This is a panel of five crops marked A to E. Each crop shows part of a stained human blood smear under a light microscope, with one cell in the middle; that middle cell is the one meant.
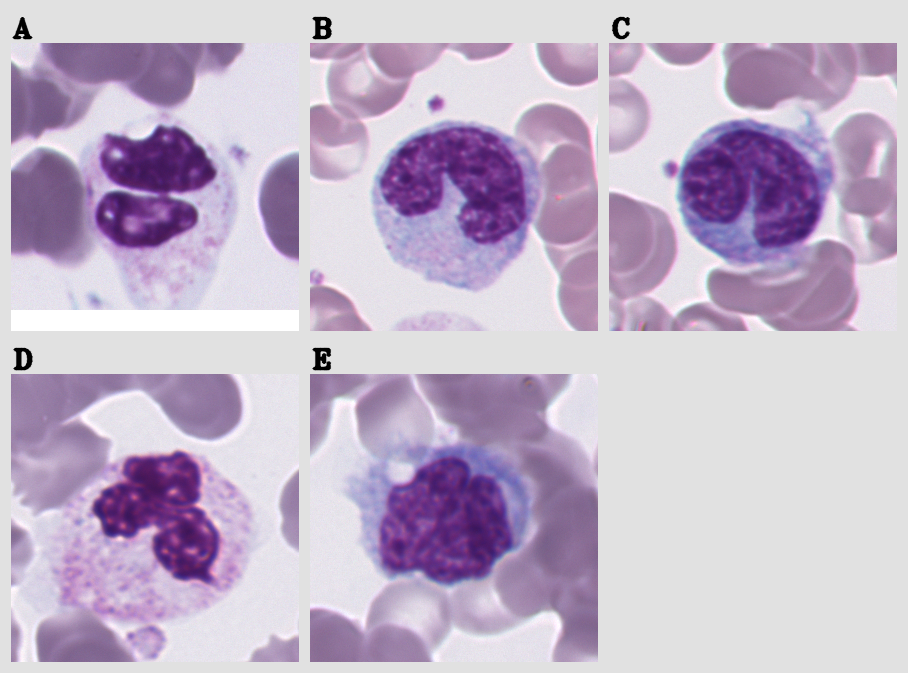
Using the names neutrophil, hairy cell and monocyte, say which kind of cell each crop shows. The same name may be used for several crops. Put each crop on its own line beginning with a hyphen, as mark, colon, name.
- A: neutrophil
- B: monocyte
- C: monocyte
- D: neutrophil
- E: monocyte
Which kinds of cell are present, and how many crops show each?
monocyte: 3
neutrophil: 2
